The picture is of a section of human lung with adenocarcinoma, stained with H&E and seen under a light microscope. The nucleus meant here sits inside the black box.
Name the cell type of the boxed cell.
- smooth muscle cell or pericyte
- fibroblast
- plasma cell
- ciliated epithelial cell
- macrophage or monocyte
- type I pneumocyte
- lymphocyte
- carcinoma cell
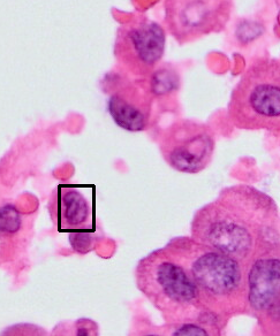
macrophage or monocyte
